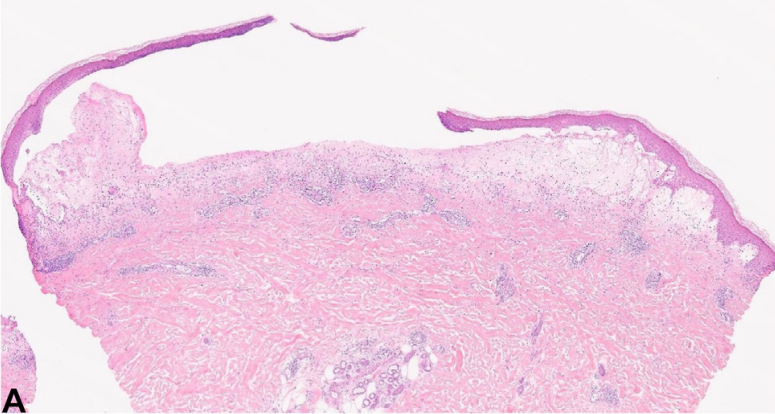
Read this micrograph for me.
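This is skin at low power, showing a large blister that lies beneath the epidermis. The epidermis is a thin purple band raised above the dermis as a roof. The upper dermis forming the floor is pale and loose. Small clusters of purple inflammatory cells gather around vessels there. Deeper, the dermis is denser pink collagen, and sweat gland coils lie near the bottom.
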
